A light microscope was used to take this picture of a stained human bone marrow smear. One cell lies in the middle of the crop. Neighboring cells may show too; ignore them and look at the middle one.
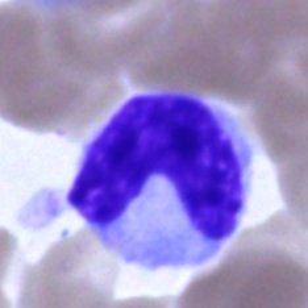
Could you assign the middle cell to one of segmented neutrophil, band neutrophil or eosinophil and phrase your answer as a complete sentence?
This crop's central cell is a band neutrophil.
